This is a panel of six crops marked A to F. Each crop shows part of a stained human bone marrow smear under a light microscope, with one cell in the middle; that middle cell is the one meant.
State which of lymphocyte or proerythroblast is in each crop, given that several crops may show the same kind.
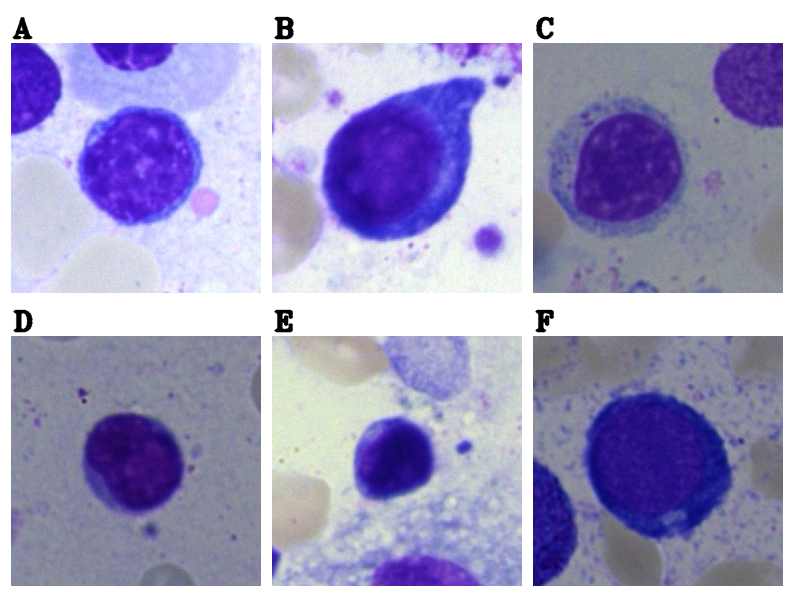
A: lymphocyte
B: proerythroblast
C: lymphocyte
D: lymphocyte
E: lymphocyte
F: proerythroblast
